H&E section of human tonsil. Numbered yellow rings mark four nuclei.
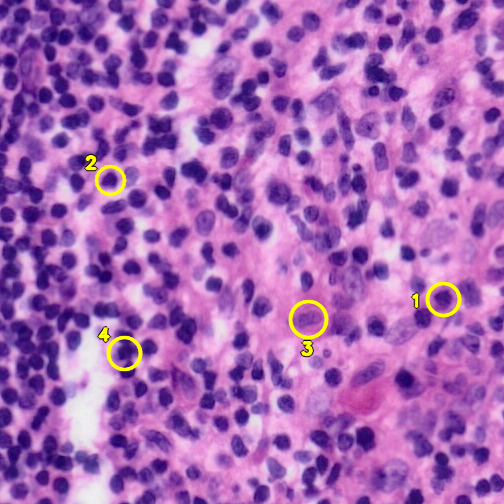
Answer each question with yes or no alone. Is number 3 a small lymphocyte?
no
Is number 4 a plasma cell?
no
